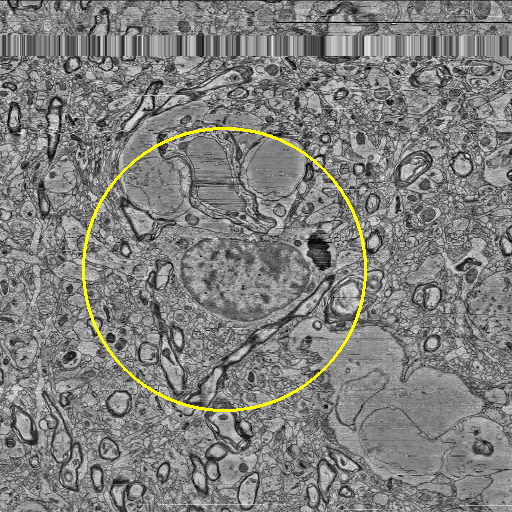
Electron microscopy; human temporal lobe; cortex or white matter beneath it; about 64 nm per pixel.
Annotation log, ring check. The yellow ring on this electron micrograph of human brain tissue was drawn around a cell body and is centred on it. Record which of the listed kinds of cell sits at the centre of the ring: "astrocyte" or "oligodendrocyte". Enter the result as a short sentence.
The cell at the centre of the ring is an oligodendrocyte.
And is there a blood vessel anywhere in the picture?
Yes.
